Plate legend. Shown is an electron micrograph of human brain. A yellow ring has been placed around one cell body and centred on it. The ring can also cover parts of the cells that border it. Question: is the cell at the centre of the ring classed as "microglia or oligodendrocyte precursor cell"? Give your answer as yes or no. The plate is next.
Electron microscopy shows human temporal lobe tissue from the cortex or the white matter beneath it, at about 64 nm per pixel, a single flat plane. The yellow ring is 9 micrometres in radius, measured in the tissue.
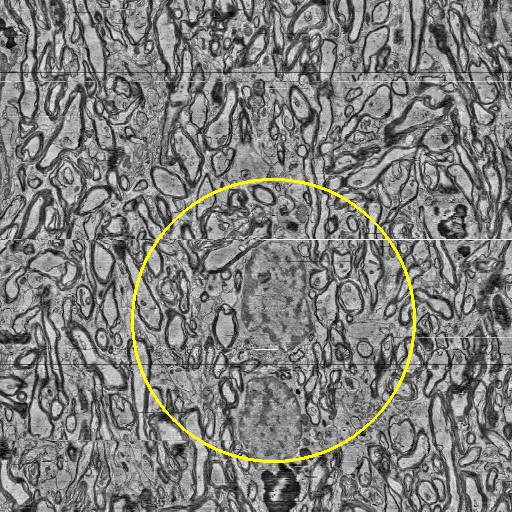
No, the ringed cell is of another kind.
